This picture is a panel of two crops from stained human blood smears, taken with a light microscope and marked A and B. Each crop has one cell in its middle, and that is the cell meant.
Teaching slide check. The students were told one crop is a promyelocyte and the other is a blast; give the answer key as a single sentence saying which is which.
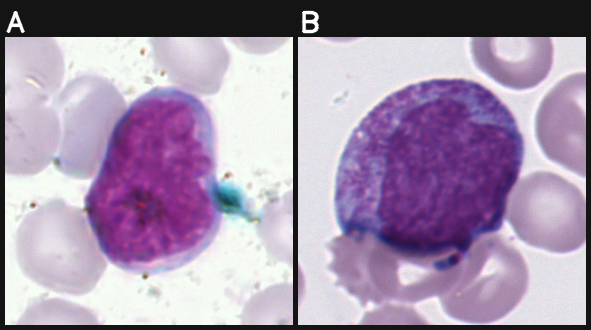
Crop A displays a blast, and crop B displays a promyelocyte.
